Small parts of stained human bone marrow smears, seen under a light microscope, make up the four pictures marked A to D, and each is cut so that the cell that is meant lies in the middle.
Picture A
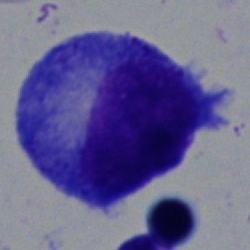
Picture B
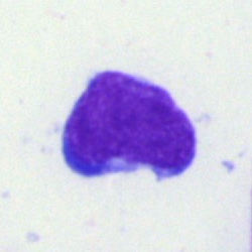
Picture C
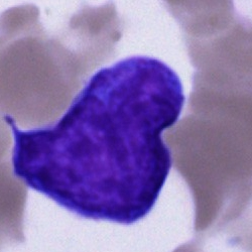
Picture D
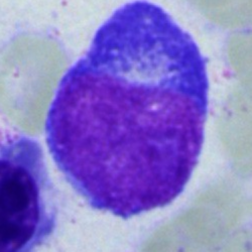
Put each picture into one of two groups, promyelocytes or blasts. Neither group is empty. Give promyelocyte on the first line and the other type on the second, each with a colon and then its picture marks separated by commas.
promyelocyte: A
blast: B, C, D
